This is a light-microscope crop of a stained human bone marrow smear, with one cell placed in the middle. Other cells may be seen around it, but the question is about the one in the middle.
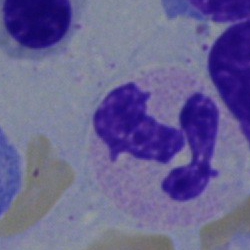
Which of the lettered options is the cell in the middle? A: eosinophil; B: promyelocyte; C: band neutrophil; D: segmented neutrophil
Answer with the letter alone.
D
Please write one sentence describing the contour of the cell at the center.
No surface projections are present; the cell outline is smooth.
